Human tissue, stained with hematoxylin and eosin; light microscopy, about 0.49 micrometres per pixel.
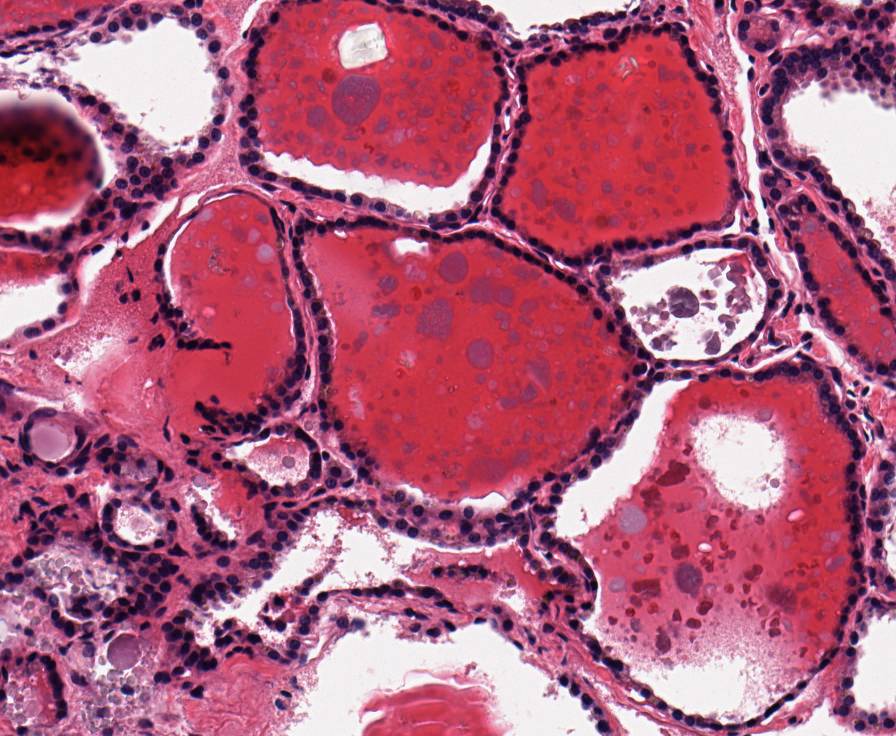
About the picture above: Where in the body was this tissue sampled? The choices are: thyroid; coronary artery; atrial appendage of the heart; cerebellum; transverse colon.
thyroid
